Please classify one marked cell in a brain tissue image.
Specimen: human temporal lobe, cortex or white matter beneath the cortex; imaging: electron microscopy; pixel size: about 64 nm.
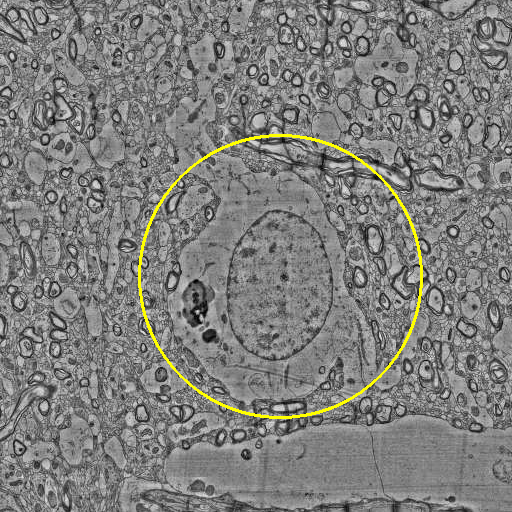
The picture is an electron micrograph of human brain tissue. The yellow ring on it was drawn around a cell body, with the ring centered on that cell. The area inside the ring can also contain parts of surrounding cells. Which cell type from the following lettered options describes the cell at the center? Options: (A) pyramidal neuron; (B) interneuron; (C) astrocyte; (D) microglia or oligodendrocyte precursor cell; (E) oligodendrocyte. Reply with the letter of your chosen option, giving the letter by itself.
C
